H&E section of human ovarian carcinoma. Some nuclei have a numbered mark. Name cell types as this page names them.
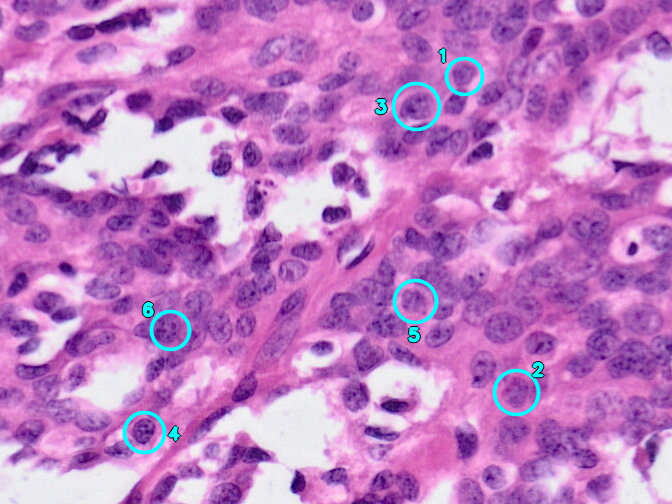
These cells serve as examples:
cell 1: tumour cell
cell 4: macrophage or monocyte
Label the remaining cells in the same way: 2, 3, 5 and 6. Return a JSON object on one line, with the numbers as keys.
{"2": "tumour cell", "3": "tumour cell", "5": "macrophage or monocyte", "6": "tumour cell"}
